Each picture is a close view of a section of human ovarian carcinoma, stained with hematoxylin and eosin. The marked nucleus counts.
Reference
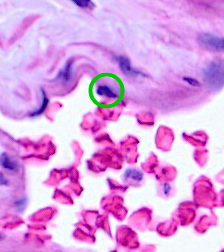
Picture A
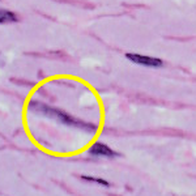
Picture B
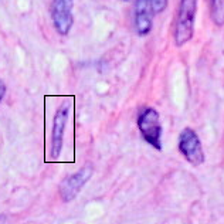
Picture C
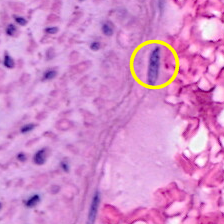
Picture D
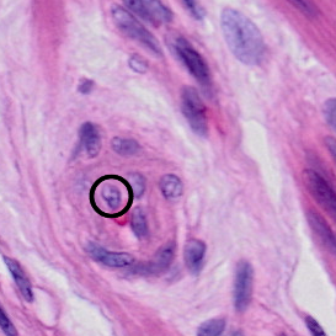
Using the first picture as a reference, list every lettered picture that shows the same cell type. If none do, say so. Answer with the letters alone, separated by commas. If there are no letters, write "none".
C, D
